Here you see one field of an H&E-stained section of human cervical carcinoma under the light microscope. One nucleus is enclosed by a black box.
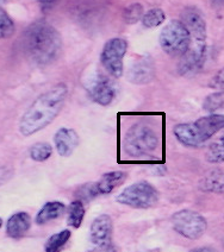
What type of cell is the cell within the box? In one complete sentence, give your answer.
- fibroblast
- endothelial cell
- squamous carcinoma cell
In this tissue section, the cell within the box is to be classed as an endothelial cell.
